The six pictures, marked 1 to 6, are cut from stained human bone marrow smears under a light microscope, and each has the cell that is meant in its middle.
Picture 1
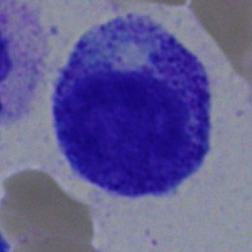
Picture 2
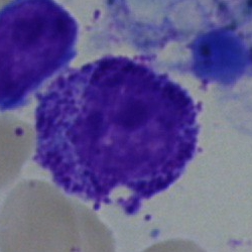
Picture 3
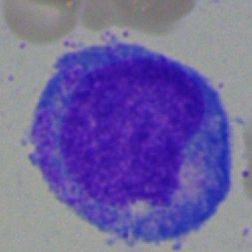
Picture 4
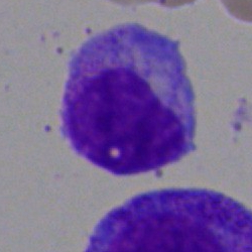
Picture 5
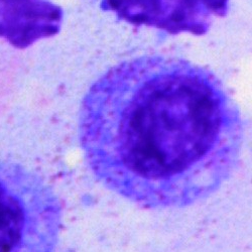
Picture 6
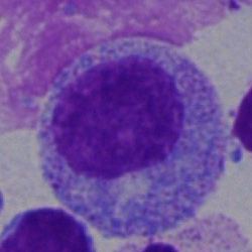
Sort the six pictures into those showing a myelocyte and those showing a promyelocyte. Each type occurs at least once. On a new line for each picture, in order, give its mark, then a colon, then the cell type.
1: myelocyte
2: myelocyte
3: promyelocyte
4: myelocyte
5: myelocyte
6: promyelocyte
